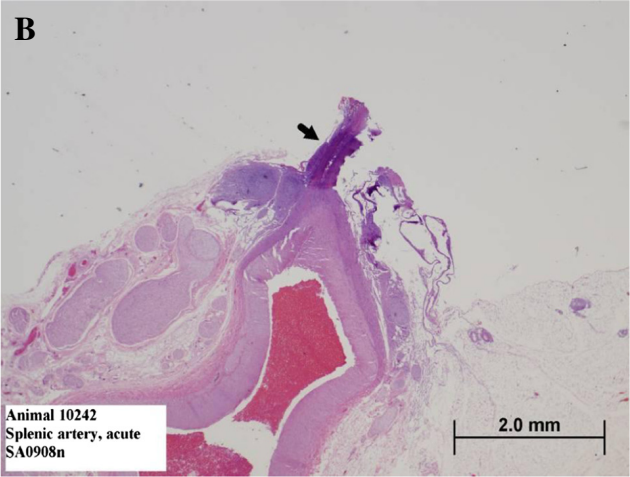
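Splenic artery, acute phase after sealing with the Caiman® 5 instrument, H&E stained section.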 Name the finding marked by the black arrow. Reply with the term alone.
Coagulative thermal necrosis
